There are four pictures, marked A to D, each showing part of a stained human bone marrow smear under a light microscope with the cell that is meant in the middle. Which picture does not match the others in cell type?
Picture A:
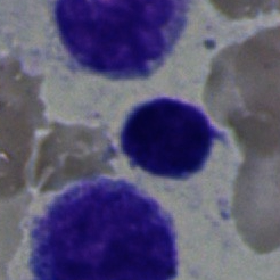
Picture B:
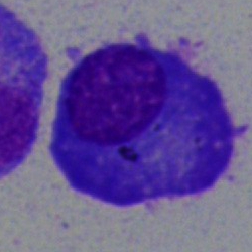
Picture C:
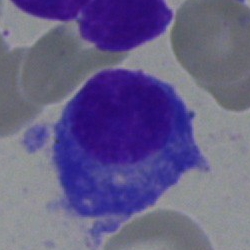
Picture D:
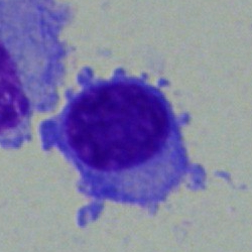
A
